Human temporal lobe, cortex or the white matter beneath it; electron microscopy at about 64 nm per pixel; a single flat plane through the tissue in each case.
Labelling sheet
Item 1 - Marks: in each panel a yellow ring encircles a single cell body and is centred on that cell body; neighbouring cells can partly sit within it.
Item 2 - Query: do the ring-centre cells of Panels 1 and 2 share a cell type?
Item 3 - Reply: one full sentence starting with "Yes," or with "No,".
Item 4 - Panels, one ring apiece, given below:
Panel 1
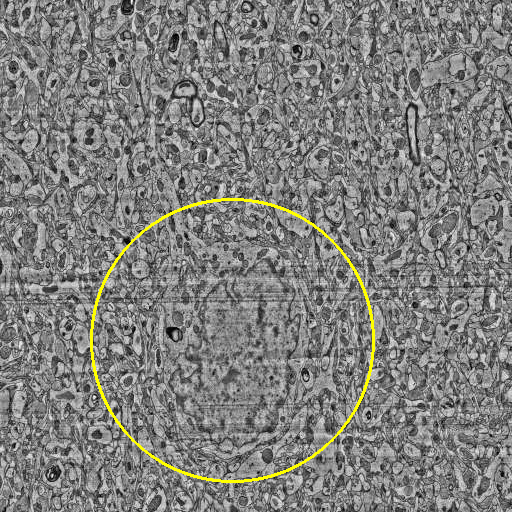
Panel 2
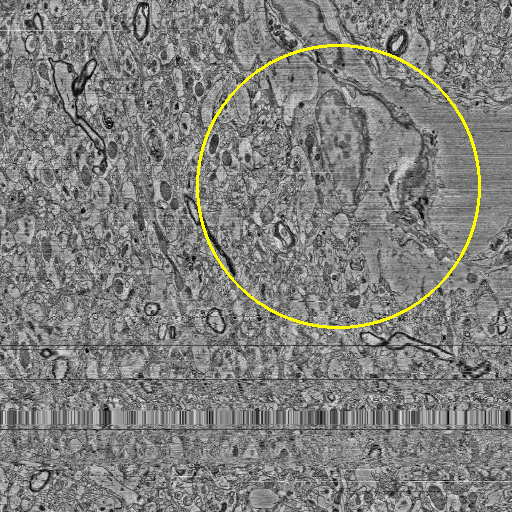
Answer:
No, Panel 1 and Panel 2 show two cell types at the centres of their rings.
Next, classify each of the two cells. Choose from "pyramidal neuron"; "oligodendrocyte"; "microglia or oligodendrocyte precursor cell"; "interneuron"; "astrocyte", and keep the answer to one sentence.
In the first picture it is an interneuron; in the second it is an oligodendrocyte.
